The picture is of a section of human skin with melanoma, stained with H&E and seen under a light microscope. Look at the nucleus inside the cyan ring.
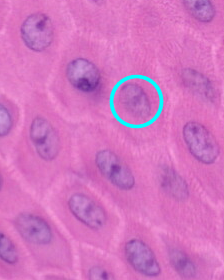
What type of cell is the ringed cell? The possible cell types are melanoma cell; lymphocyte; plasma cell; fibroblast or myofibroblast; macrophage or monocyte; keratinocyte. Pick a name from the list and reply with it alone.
keratinocyte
